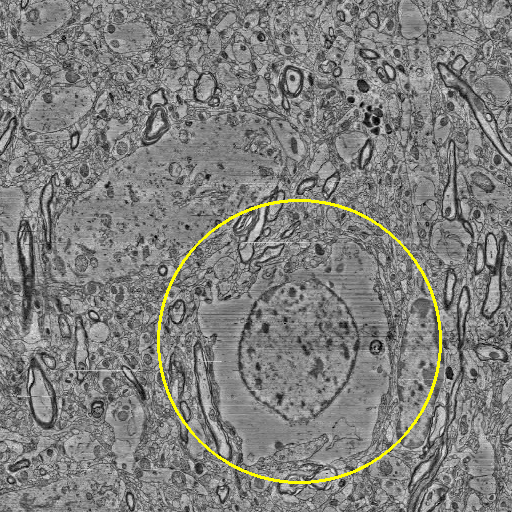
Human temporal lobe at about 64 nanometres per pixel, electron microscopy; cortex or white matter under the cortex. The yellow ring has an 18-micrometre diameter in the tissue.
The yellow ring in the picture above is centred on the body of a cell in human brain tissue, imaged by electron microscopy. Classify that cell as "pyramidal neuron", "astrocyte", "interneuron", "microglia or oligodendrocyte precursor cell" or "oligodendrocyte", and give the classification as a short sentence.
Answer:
The cell in the middle of the ring is an astrocyte.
